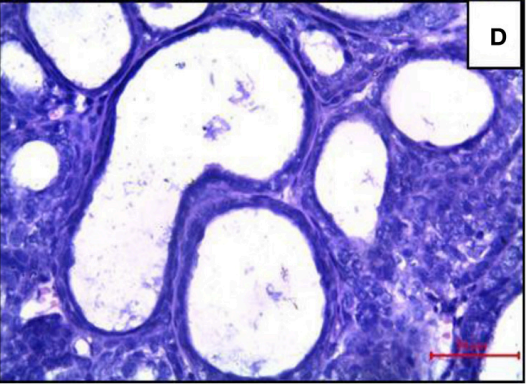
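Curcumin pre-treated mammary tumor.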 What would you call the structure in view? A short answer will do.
Glandular structure.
